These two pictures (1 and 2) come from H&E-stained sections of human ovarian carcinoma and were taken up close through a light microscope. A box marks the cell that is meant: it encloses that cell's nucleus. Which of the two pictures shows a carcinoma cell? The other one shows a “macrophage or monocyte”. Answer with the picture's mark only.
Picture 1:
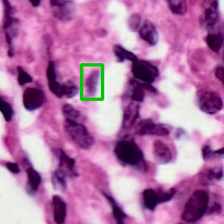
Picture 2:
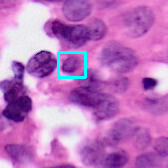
2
